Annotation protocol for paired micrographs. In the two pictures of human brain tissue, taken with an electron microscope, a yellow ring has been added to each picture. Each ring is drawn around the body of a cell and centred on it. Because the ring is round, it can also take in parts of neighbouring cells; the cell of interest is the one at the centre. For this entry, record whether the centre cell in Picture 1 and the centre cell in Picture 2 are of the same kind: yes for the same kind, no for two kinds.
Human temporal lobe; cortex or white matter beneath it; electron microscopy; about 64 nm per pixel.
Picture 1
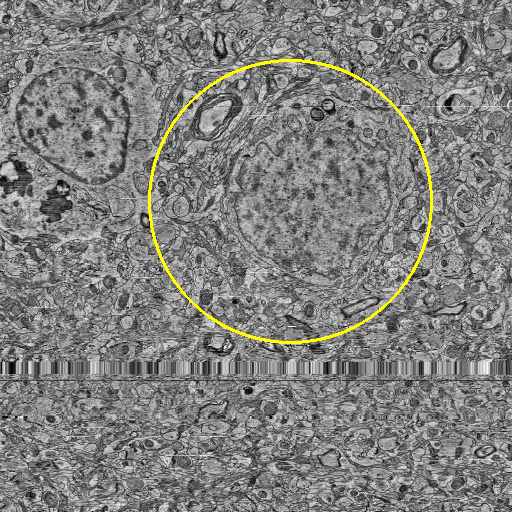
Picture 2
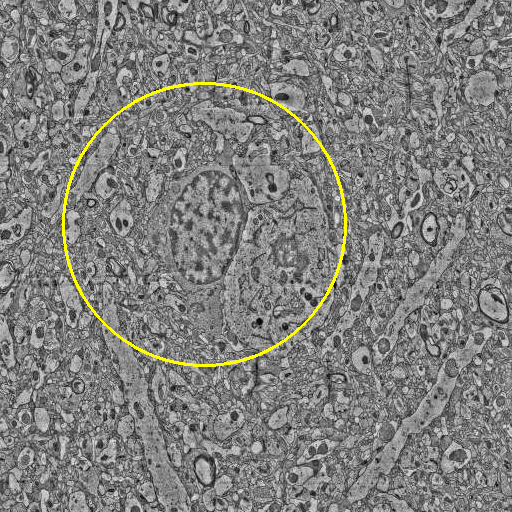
no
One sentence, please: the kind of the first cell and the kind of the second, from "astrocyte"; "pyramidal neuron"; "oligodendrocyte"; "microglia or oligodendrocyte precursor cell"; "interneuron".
The ring in the first picture surrounds an interneuron, and the ring in the second surrounds an oligodendrocyte.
